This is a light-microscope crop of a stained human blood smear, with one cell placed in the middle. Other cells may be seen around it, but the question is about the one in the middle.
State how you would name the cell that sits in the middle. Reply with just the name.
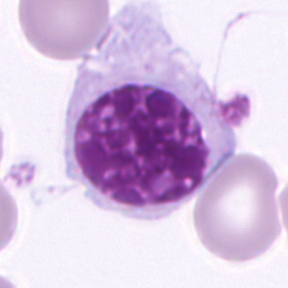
plasma cell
